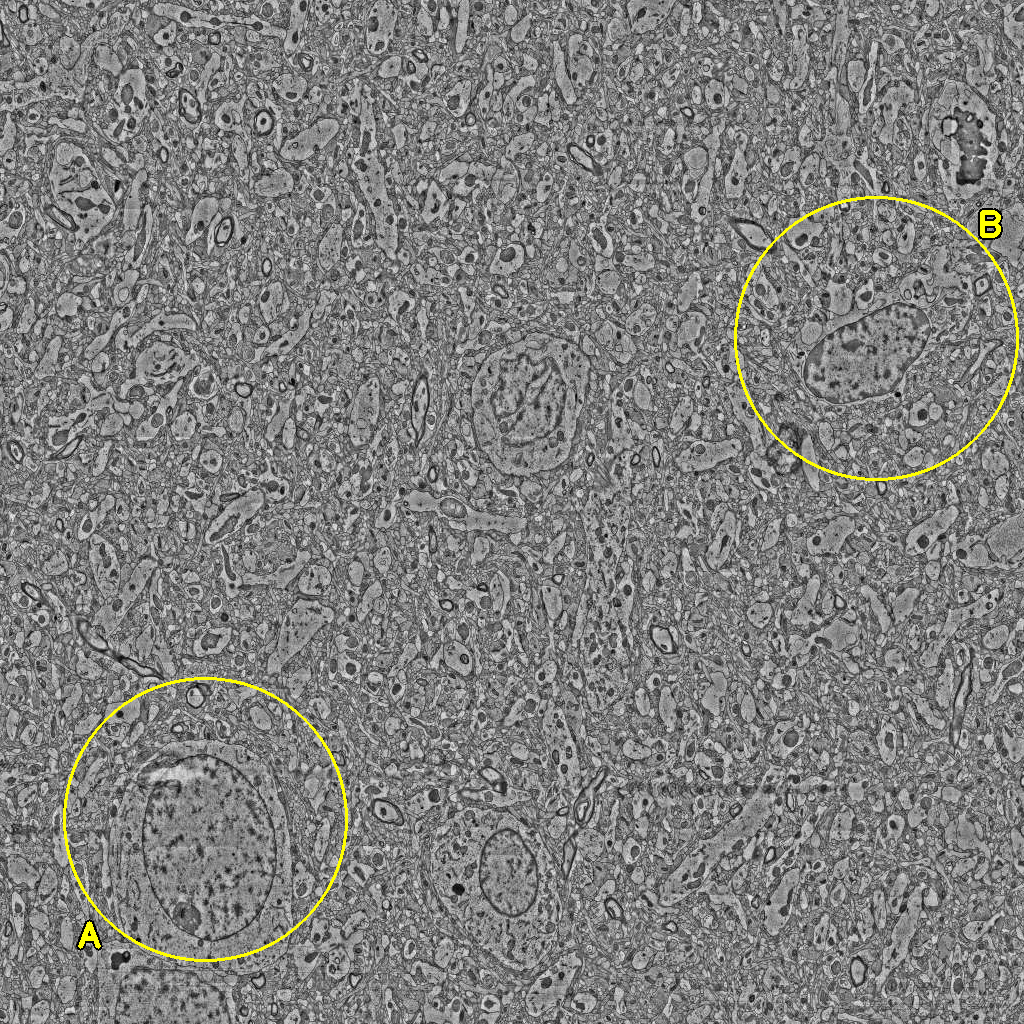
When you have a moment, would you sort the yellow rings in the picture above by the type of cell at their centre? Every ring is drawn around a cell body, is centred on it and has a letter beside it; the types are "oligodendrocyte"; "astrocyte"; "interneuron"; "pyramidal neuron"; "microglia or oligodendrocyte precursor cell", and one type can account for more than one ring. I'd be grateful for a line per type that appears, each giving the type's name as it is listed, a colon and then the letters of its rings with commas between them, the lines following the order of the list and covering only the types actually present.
pyramidal neuron: A
microglia or oligodendrocyte precursor cell: B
